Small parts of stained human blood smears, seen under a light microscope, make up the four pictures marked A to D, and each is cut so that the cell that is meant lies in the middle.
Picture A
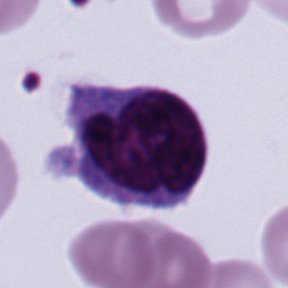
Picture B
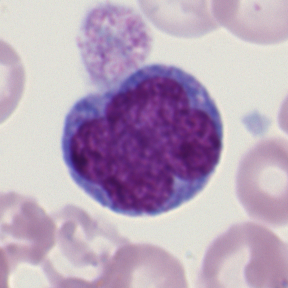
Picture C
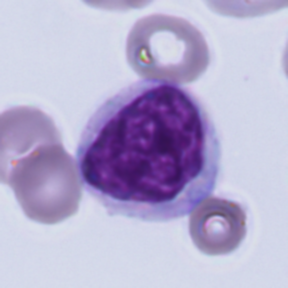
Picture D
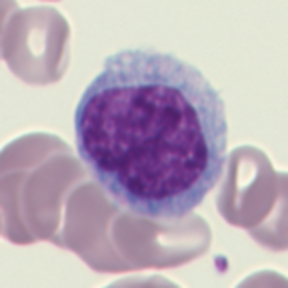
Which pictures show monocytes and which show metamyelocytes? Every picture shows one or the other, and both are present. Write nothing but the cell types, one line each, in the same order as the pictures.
monocyte
monocyte
metamyelocyte
monocyte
